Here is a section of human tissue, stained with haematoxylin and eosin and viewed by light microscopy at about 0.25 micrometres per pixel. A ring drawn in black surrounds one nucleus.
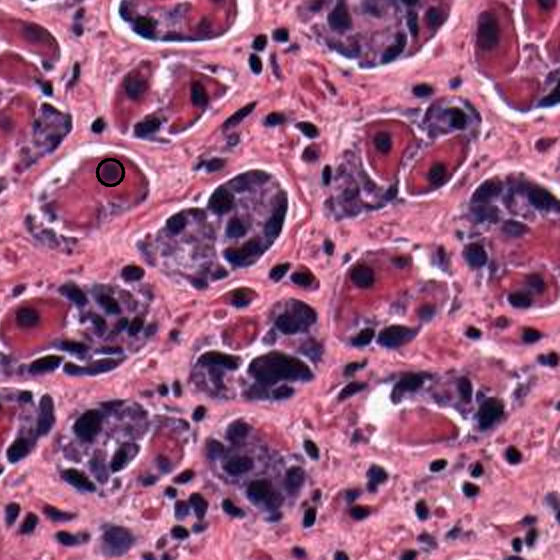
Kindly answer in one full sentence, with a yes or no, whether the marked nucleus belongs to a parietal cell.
Yes, the marked nucleus is held by a parietal cell.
